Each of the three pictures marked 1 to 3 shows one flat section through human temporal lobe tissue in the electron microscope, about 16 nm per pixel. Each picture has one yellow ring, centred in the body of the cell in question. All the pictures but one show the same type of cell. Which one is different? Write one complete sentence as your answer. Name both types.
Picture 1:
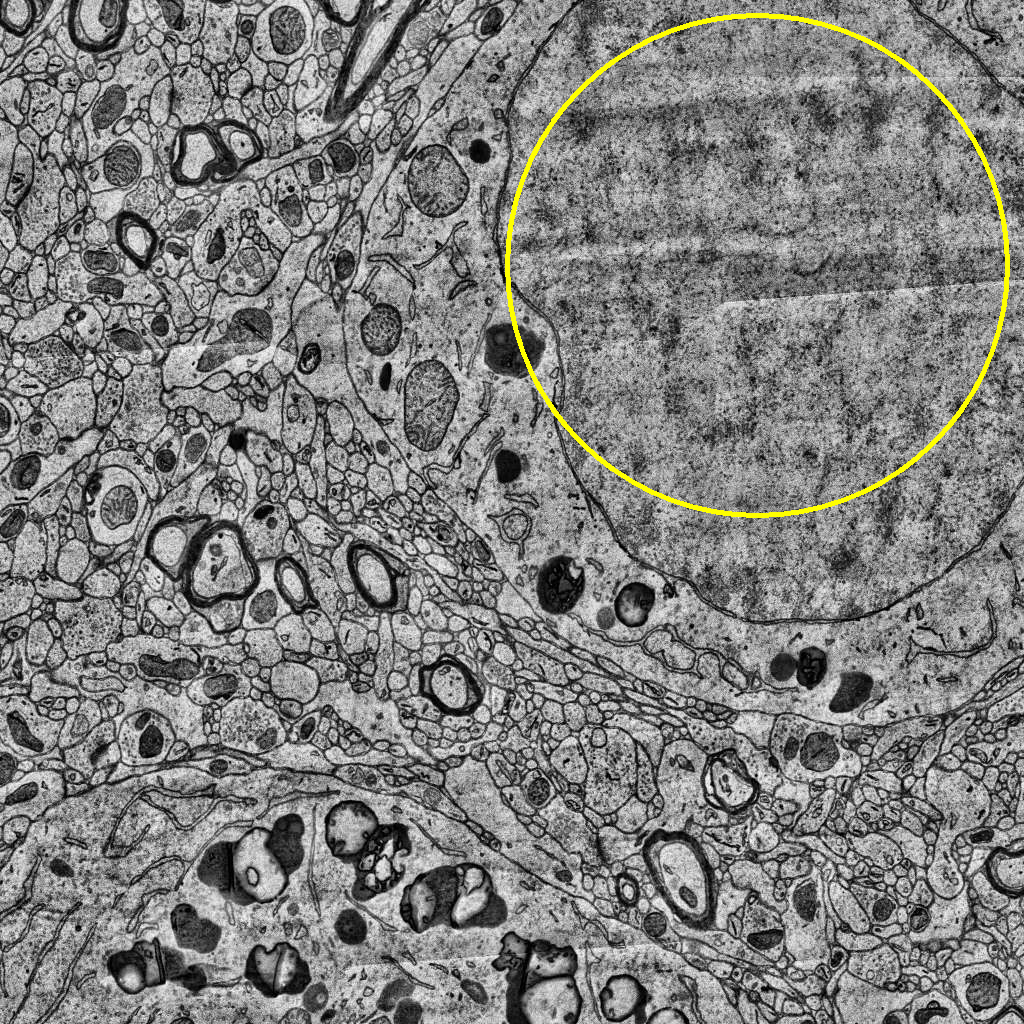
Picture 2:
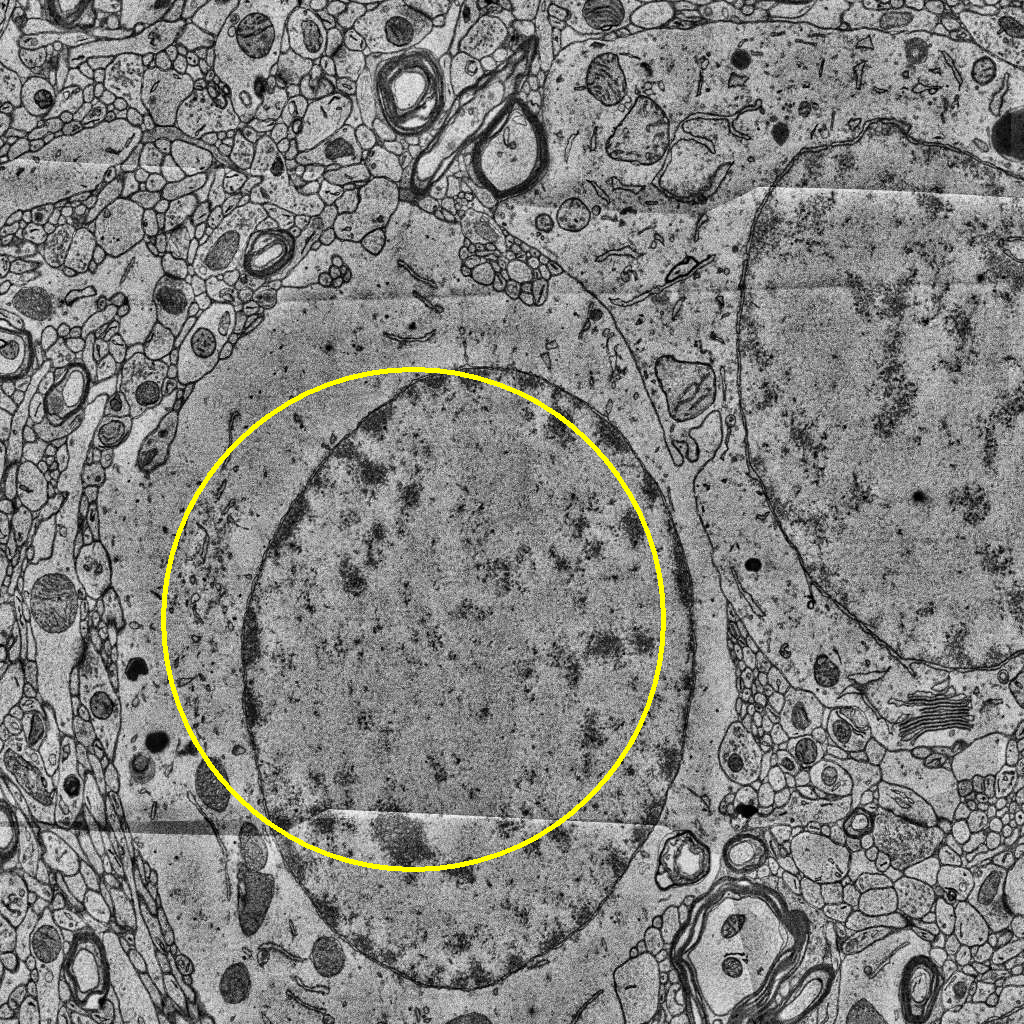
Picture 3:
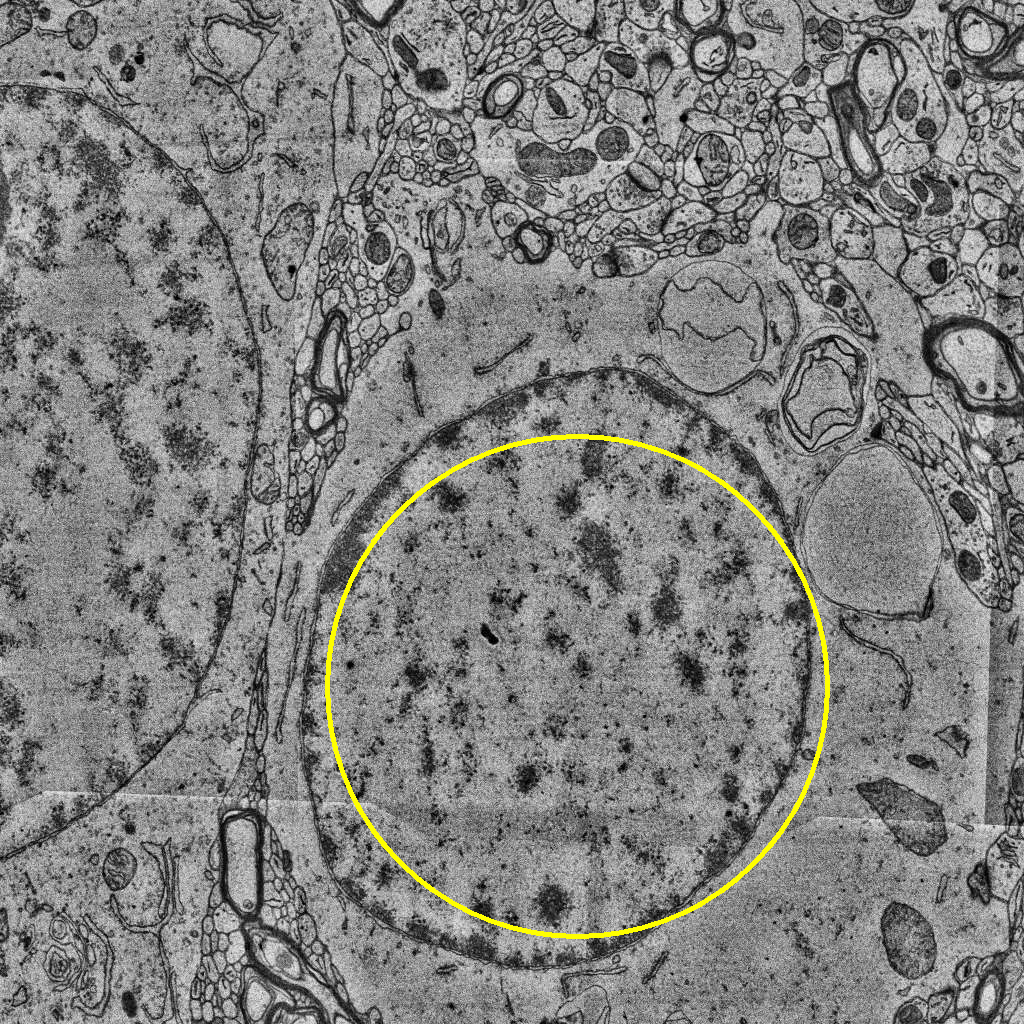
The others show astrocytes, but picture 1 shows a pyramidal neuron.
